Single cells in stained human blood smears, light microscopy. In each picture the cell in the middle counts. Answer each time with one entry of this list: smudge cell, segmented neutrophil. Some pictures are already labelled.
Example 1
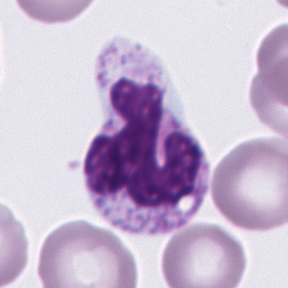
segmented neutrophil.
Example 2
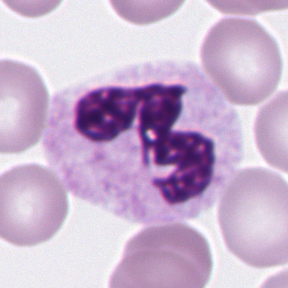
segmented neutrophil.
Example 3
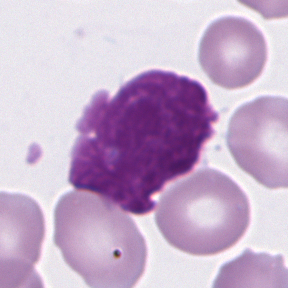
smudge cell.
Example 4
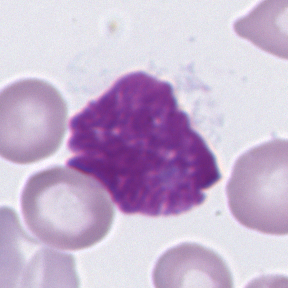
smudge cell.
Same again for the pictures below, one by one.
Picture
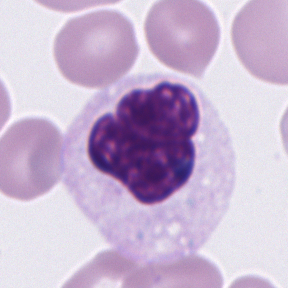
segmented neutrophil.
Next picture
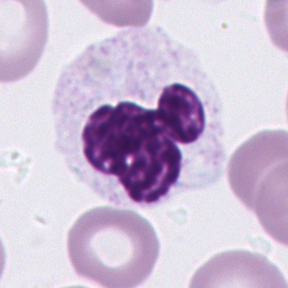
segmented neutrophil.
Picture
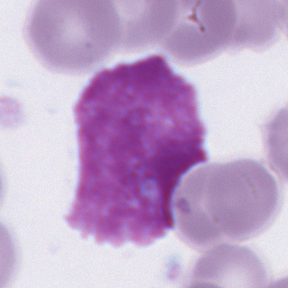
smudge cell.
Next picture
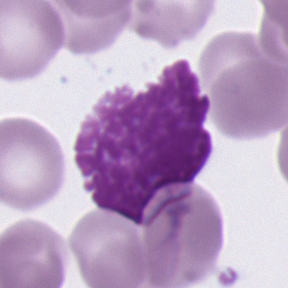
smudge cell.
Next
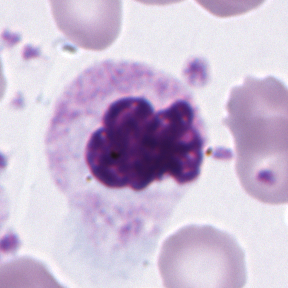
segmented neutrophil.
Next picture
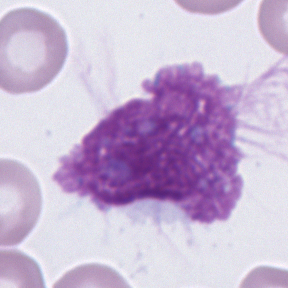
smudge cell.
